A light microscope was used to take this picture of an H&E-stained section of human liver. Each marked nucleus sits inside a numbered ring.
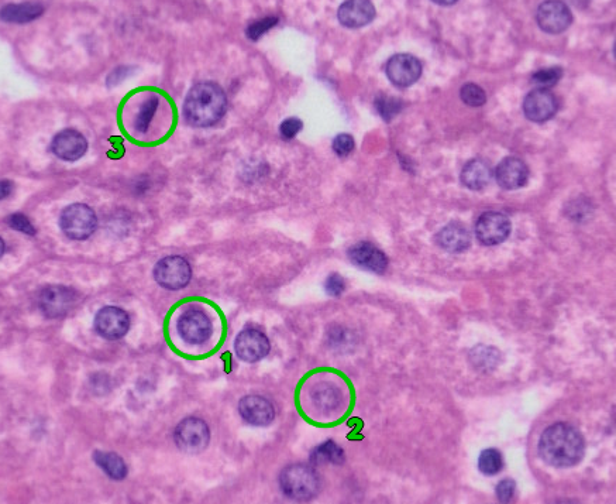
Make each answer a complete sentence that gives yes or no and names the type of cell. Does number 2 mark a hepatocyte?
Yes, to put it simply, cell number 2 is a hepatocyte.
